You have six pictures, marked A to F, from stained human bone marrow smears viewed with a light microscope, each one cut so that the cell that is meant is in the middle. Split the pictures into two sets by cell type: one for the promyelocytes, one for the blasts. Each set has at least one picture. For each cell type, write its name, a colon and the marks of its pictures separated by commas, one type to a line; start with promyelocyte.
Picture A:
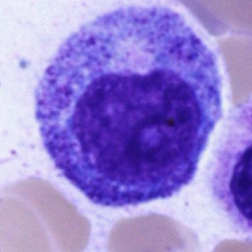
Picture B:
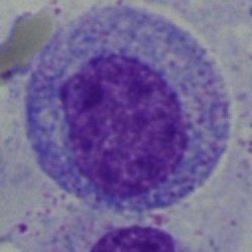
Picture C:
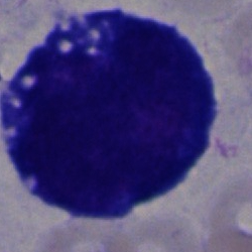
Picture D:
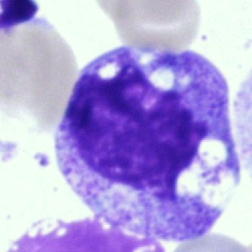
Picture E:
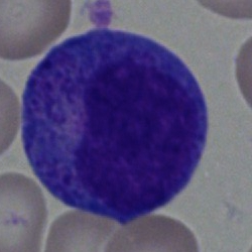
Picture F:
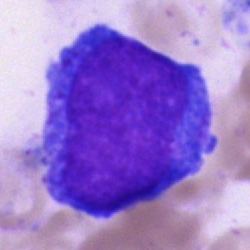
promyelocyte: A, B, D, E
blast: C, F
